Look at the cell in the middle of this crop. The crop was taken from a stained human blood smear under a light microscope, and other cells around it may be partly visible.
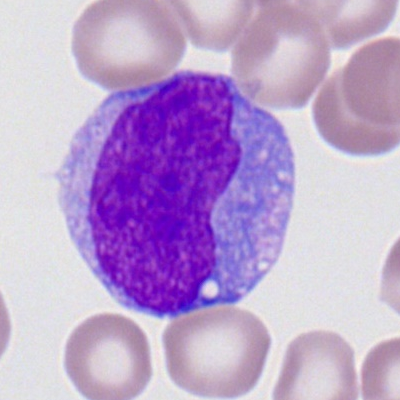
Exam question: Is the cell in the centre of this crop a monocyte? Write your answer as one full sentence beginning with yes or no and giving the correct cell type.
Yes, the middle cell here is a monocyte.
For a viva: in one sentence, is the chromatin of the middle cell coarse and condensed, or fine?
The chromatin pattern is fine and free of coarse clumps.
